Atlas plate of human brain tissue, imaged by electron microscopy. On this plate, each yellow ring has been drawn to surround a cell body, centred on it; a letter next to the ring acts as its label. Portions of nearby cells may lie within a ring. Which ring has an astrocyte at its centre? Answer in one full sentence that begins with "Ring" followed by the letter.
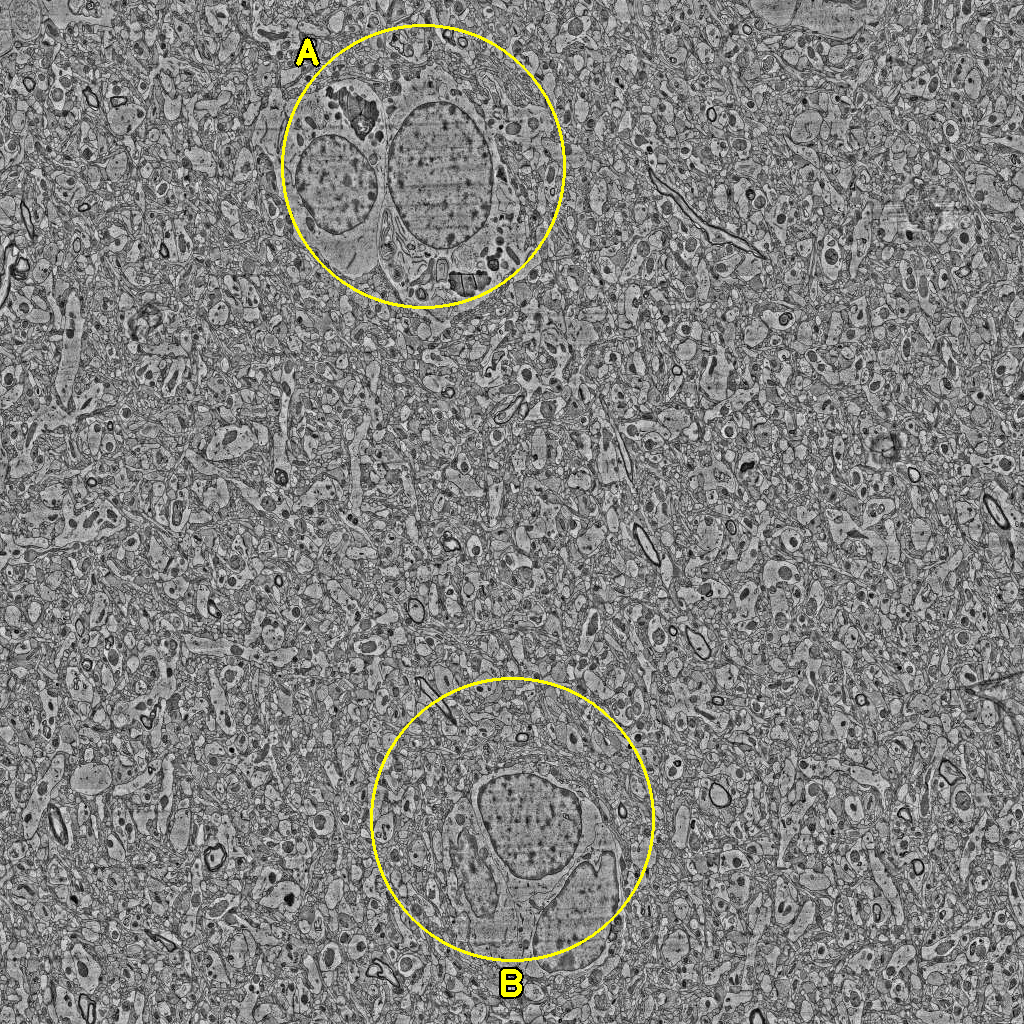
Ring A is drawn around the requested cell, which lies at its centre in the picture.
